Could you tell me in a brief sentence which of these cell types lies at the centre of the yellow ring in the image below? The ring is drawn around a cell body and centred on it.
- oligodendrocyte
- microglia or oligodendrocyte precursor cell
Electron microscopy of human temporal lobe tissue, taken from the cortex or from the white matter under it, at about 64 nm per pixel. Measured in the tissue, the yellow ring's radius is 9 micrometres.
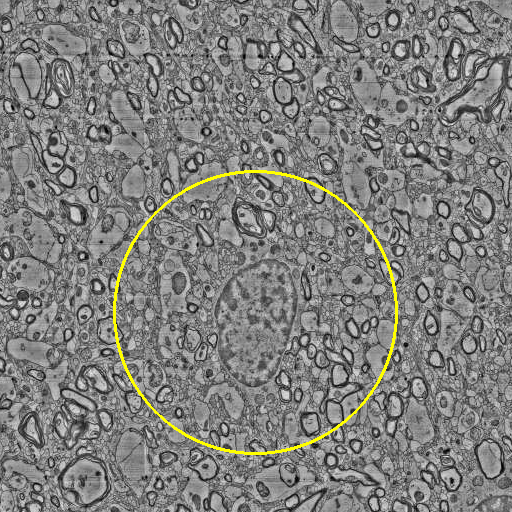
The cell centred in the ring is an oligodendrocyte.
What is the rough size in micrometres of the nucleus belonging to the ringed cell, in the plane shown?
In this plane, about 8 micrometres in length and 5 in width.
